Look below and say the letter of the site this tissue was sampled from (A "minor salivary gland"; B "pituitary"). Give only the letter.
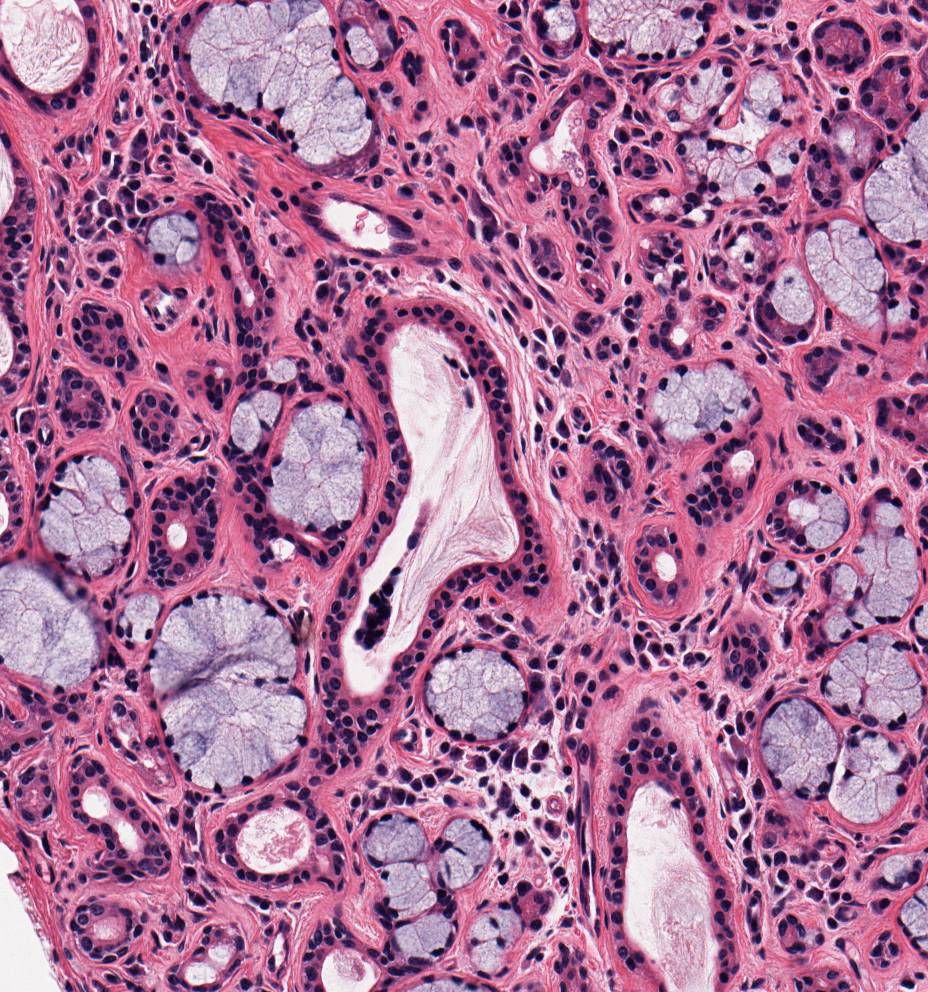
A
